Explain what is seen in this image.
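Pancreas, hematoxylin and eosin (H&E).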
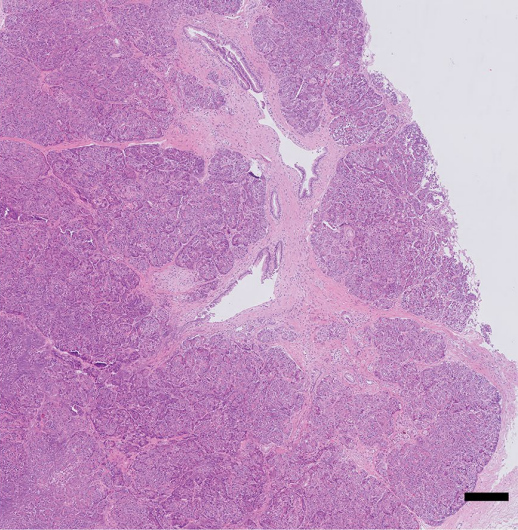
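This is normal pancreatic tissue at low magnification, built of large, densely purple lobules of glandular tissue. The lobules are separated by thin pink connective tissue septa, which widen centrally into a band of stroma that holds open duct-like spaces.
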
